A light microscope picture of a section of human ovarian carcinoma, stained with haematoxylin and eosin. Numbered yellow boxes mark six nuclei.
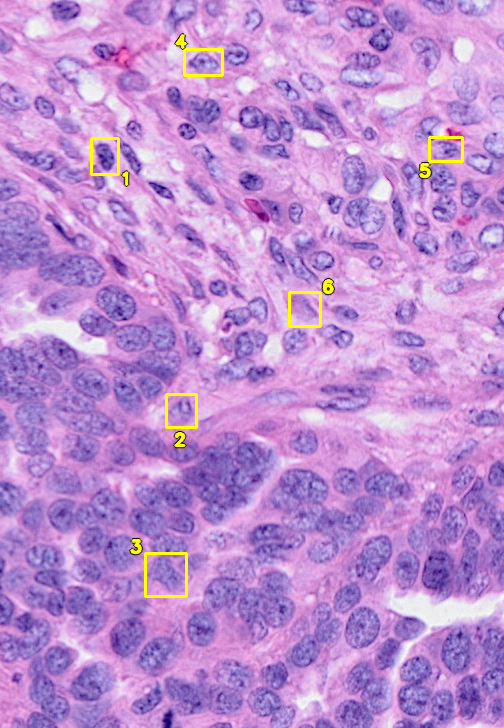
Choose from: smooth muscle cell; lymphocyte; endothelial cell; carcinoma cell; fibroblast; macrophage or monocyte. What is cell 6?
fibroblast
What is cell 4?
fibroblast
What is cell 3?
carcinoma cell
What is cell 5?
endothelial cell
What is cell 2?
fibroblast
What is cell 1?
lymphocyte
